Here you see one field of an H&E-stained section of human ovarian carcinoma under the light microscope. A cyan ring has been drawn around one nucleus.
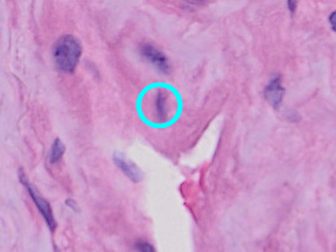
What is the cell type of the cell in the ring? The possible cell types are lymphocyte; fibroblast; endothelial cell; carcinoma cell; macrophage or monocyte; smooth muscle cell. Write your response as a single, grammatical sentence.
With respect to cell type, the cell in the ring is a smooth muscle cell.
